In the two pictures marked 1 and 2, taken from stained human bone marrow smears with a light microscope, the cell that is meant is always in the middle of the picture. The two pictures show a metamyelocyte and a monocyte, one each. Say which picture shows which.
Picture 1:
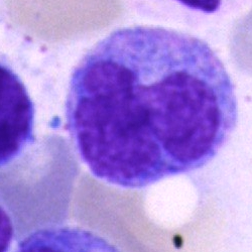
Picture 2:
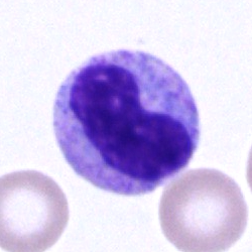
1: monocyte
2: metamyelocyte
